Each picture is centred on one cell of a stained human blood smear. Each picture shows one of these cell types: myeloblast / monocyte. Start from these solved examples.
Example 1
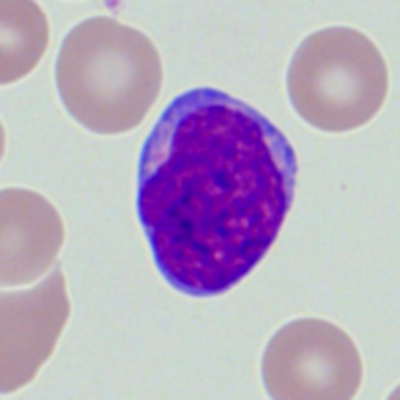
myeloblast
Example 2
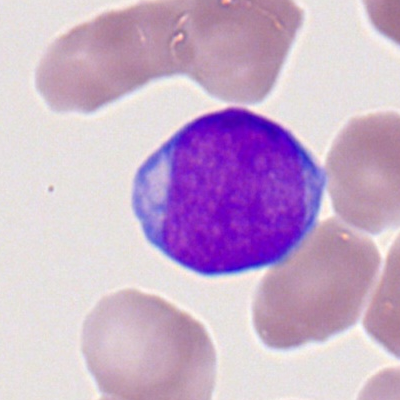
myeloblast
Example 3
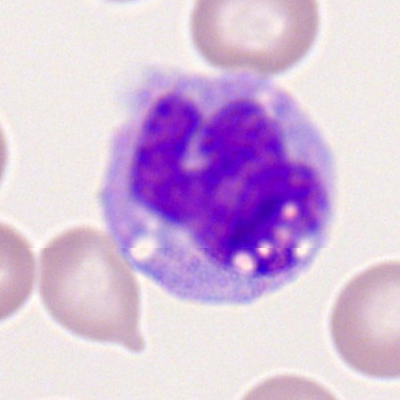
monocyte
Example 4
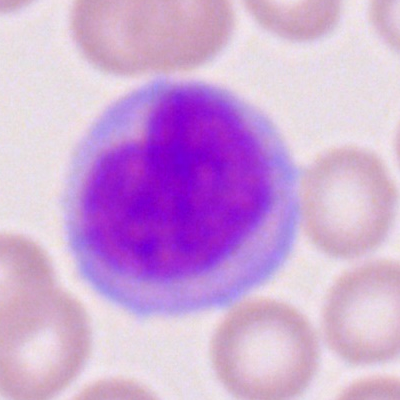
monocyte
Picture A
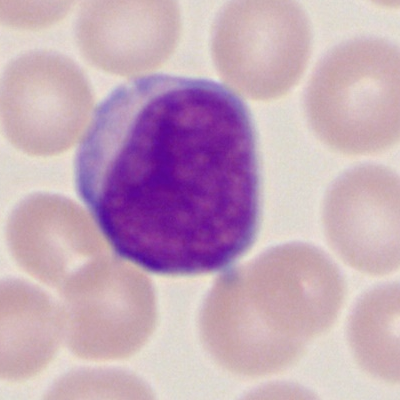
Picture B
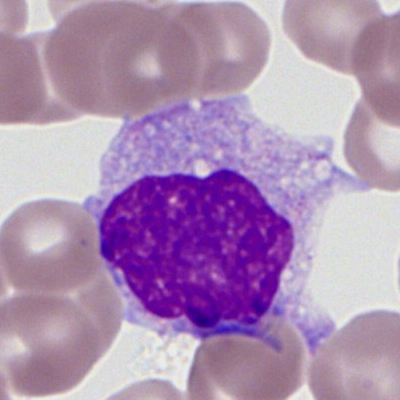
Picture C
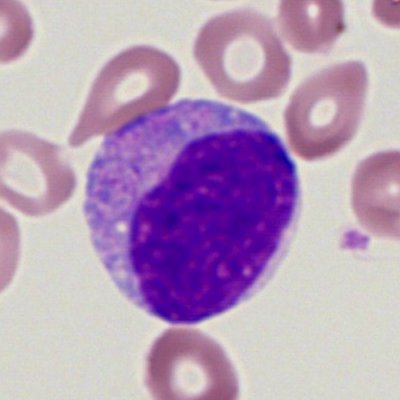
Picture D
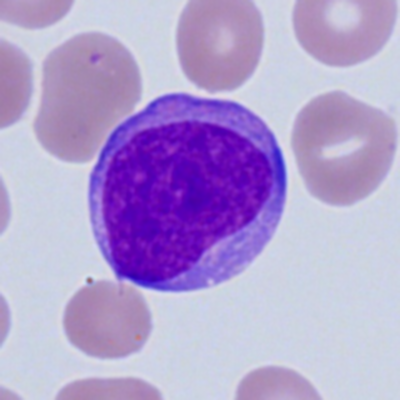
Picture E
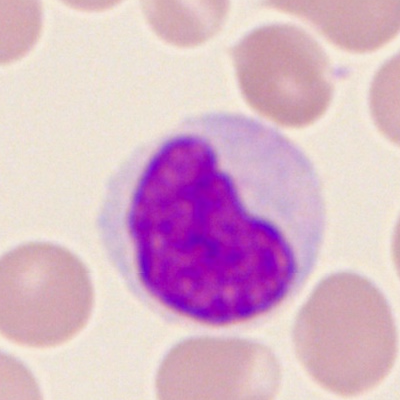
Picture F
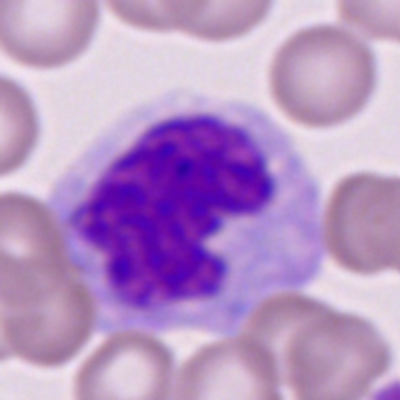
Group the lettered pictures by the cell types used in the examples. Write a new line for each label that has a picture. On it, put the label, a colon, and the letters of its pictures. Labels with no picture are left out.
myeloblast: A, C, D
monocyte: B, E, F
